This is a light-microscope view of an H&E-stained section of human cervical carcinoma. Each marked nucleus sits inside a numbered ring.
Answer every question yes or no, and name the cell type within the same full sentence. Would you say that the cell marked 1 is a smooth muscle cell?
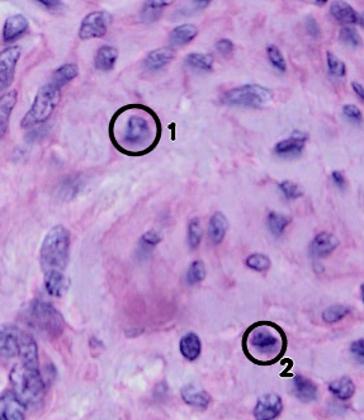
Yes, cell 1 is a smooth muscle cell in this tissue section.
